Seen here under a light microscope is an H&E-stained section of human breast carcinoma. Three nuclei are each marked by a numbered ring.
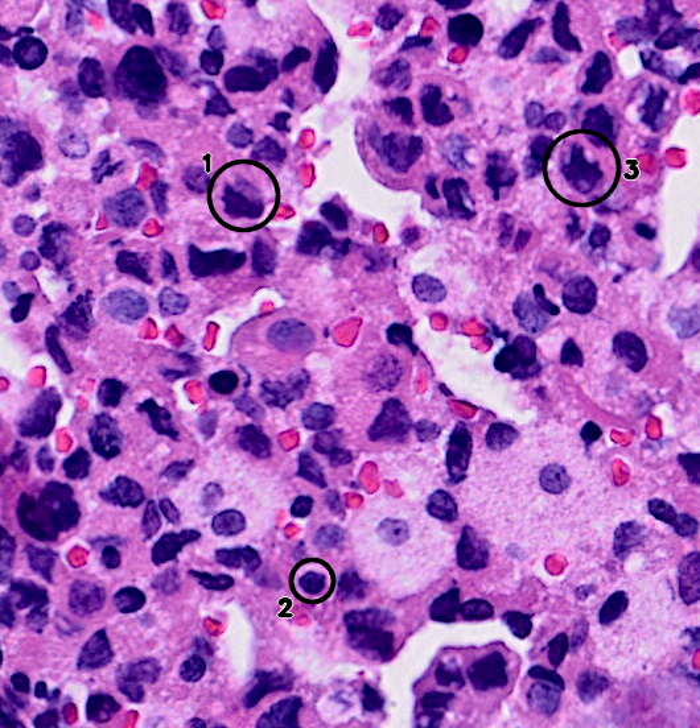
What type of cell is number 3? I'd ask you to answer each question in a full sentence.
Cell 3 should be recorded as a carcinoma cell.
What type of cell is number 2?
Corresponding to a lymphocyte is the cell labelled 2.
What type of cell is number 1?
Within this field of view, the cell labelled 1 is a carcinoma cell.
